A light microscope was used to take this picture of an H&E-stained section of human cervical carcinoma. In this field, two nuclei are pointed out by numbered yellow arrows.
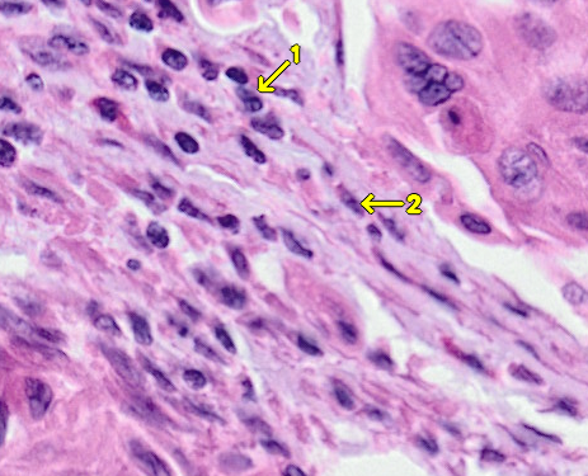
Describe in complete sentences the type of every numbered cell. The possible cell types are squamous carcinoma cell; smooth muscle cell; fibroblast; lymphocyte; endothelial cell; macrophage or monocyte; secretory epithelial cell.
Cell 1 is a lymphocyte. Cell 2 is a fibroblast.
